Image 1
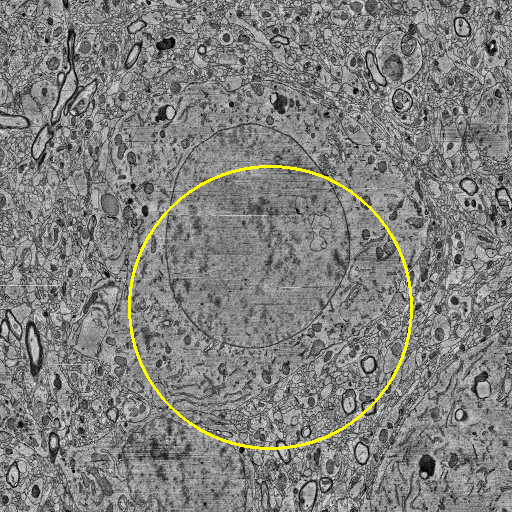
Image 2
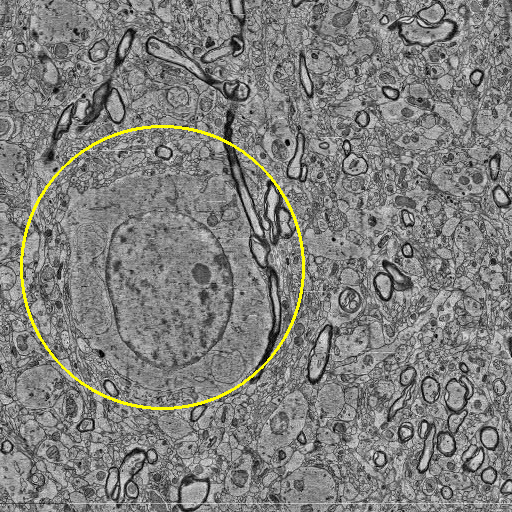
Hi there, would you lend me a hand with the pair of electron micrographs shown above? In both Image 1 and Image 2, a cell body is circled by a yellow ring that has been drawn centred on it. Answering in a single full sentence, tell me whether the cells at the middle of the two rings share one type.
No, the ringed cells in Image 1 and Image 2 belong to two types.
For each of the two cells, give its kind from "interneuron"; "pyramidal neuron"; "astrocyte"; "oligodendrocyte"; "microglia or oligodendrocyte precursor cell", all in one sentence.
The first picture has a pyramidal neuron in its ring, the second has an astrocyte.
